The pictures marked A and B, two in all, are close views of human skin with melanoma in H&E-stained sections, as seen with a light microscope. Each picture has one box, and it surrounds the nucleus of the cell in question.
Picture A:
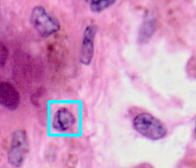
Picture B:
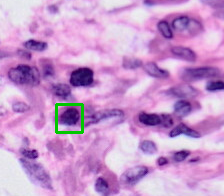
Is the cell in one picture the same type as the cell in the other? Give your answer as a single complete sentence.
No, the types are not the same, since picture A shows a lymphocyte and picture B a plasma cell.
